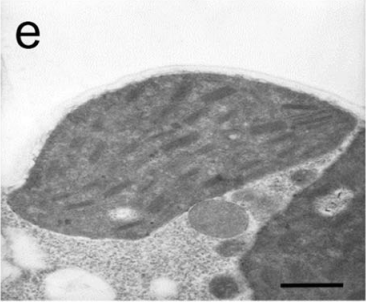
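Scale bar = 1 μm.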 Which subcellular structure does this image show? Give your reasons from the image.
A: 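A single large lens-shaped organelle lies against the cell wall. Its interior holds many dark, parallel stacked membrane bands.
Hence: Chloroplasts.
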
